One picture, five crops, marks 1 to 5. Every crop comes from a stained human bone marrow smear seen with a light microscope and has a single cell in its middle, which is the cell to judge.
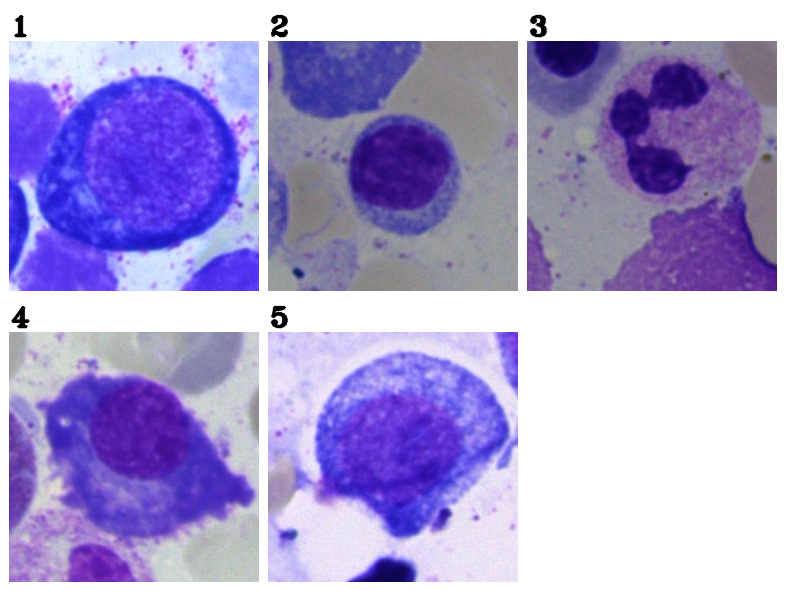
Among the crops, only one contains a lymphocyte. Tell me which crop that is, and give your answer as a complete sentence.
Crop 2 is the one depicting a lymphocyte.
